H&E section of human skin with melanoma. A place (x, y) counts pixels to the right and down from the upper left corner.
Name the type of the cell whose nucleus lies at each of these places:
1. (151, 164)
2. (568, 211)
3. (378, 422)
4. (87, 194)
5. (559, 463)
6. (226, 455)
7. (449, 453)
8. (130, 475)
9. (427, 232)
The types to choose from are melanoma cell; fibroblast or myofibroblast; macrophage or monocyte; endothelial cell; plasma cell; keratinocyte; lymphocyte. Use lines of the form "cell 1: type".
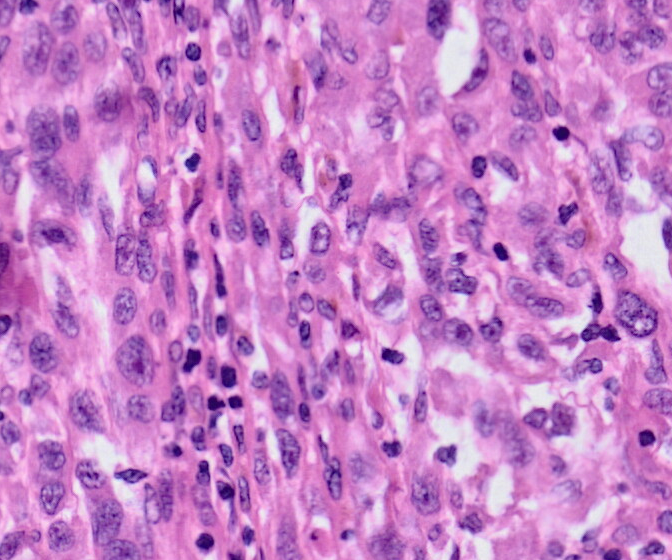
cell 1: endothelial cell
cell 2: lymphocyte
cell 3: macrophage or monocyte
cell 4: melanoma cell
cell 5: macrophage or monocyte
cell 6: lymphocyte
cell 7: lymphocyte
cell 8: lymphocyte
cell 9: melanoma cell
